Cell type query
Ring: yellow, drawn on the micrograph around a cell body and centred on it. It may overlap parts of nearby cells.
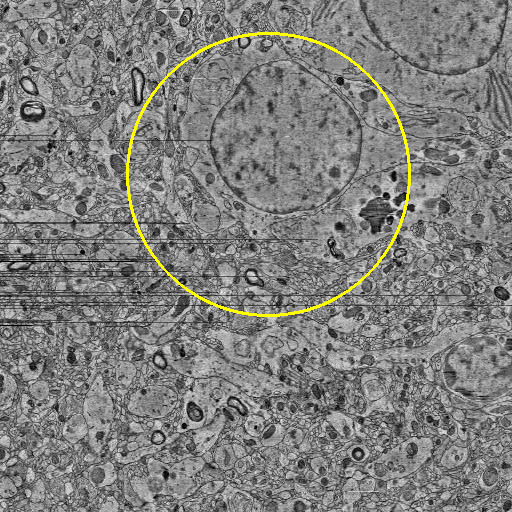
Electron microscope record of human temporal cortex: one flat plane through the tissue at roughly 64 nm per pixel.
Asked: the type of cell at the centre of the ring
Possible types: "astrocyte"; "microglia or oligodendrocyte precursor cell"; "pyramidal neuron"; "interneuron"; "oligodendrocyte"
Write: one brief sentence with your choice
The ring marks an astrocyte.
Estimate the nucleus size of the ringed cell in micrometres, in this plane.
In this plane the nucleus measures roughly 10 micrometres across.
